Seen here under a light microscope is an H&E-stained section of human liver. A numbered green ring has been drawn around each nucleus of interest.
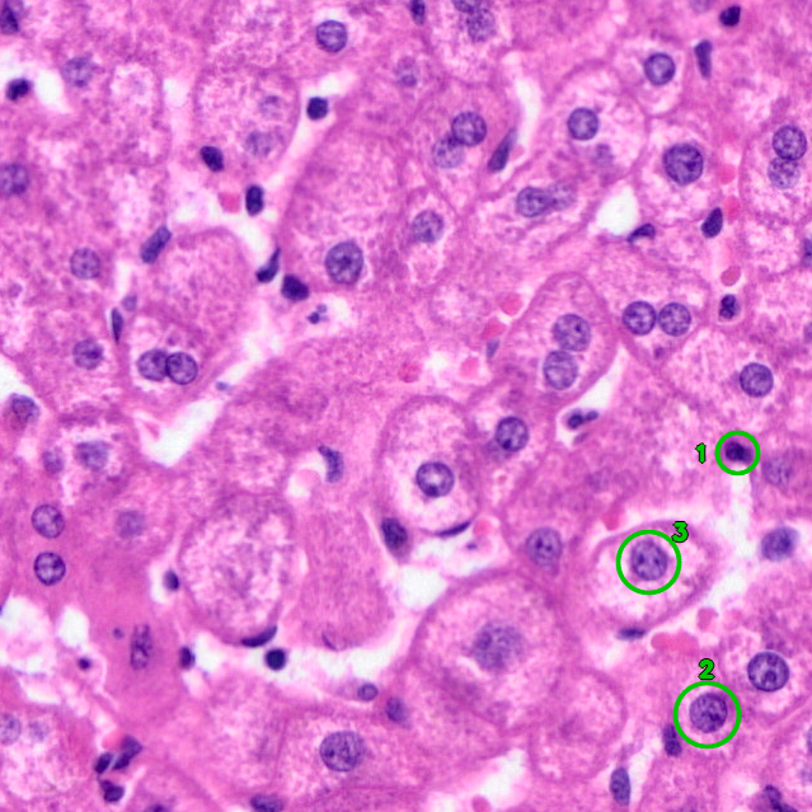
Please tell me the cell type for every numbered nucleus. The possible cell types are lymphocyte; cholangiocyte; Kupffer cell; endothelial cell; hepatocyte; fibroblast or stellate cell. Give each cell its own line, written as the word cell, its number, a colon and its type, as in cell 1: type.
cell 1: fibroblast or stellate cell
cell 2: hepatocyte
cell 3: hepatocyte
